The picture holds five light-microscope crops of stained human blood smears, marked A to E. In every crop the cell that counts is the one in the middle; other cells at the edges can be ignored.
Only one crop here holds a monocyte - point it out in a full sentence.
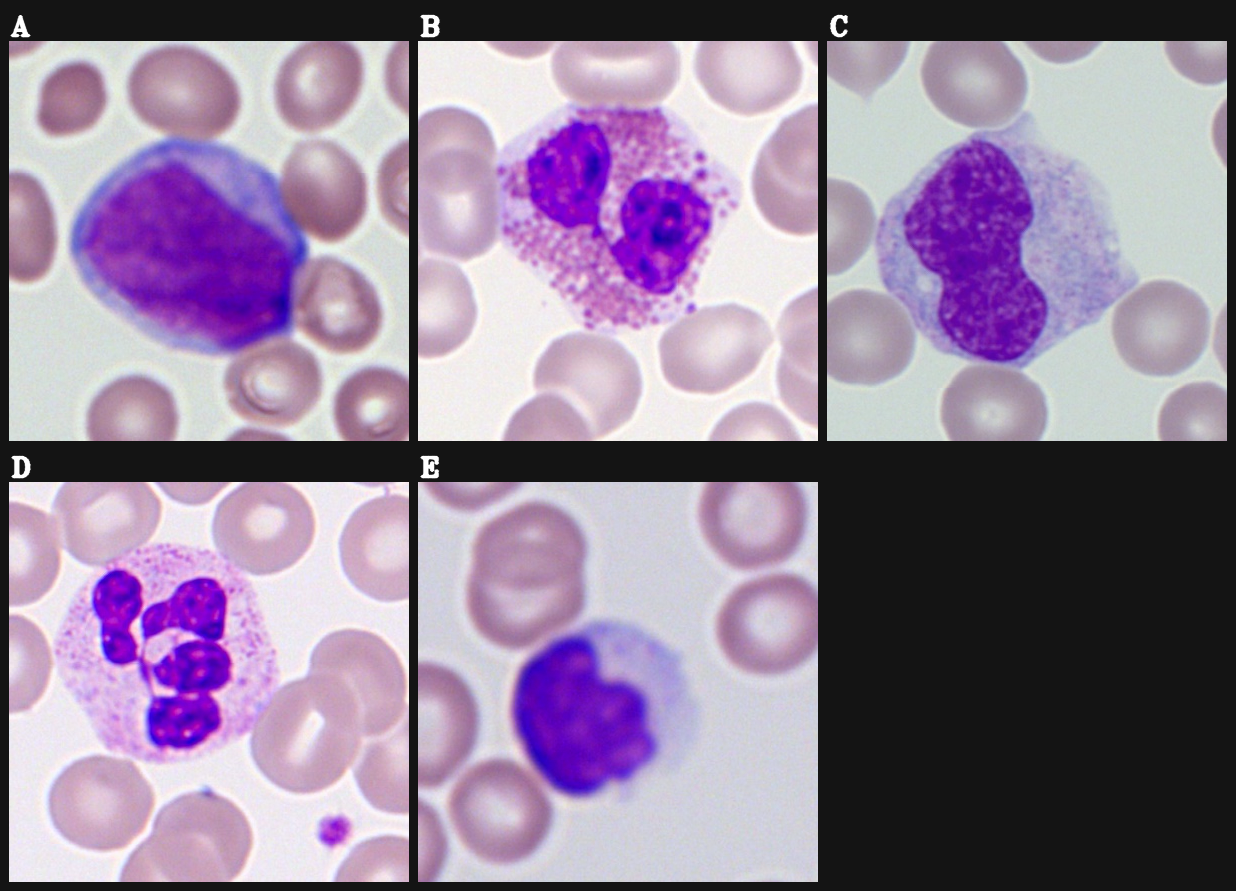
Crop C is the crop containing a monocyte.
